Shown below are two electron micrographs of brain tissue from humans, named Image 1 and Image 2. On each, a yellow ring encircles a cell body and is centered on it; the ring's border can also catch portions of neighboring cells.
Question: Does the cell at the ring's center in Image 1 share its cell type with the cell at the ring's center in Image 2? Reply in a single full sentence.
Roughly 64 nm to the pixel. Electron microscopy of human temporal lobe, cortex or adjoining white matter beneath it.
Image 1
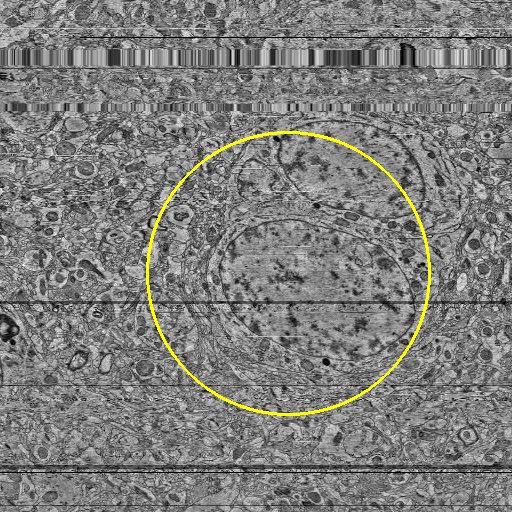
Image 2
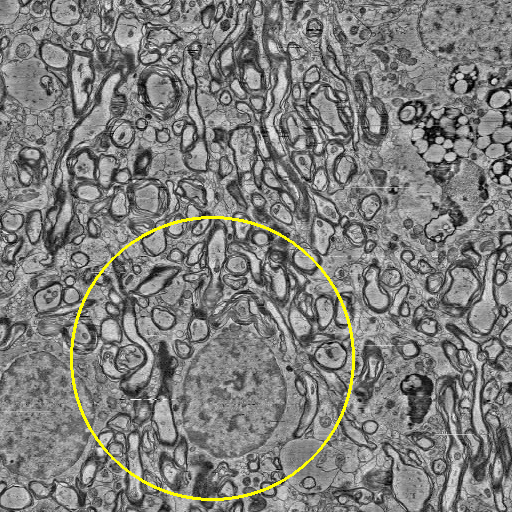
No, the two cells at the ring centers, in Image 1 and Image 2, are of two cell types.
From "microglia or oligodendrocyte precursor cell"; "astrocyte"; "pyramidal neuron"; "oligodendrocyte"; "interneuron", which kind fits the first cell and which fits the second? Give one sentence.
The cell marked in the first picture is a pyramidal neuron, and the one marked in the second is an oligodendrocyte.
